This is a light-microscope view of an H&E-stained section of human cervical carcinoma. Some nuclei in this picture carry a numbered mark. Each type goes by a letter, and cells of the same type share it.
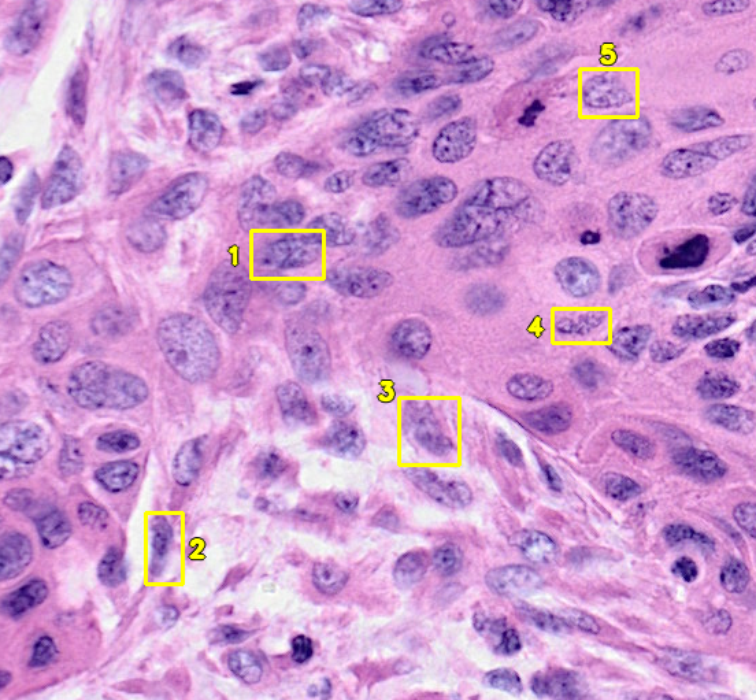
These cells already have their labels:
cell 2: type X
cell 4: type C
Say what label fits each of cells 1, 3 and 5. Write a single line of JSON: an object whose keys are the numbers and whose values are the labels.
{"1": "type C", "3": "type X", "5": "type C"}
